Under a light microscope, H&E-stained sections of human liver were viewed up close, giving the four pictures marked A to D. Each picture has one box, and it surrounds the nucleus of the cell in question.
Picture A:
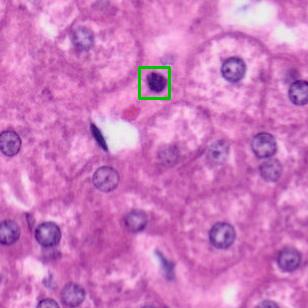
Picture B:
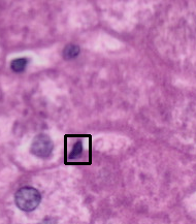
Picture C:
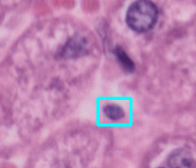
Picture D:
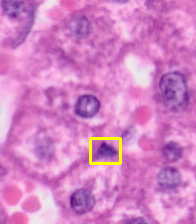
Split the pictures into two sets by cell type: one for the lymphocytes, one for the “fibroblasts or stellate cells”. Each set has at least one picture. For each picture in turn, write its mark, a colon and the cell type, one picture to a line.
A: lymphocyte
B: fibroblast or stellate cell
C: lymphocyte
D: fibroblast or stellate cell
